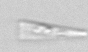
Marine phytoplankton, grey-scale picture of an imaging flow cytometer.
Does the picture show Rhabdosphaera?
No, it shows Licmophora.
